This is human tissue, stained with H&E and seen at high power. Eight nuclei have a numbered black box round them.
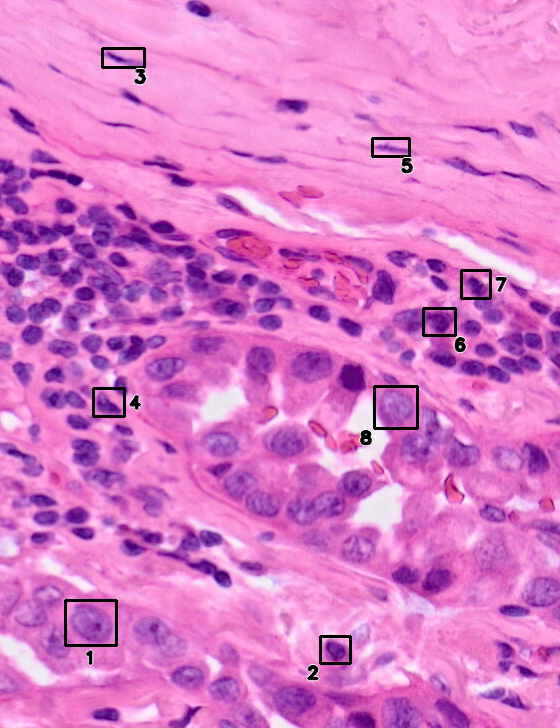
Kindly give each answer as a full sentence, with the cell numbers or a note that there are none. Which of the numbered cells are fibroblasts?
Within the section, cells numbered 3 and 5 are fibroblasts.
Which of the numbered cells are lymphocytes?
Cell 4 is a lymphocyte, while all remaining marked cells are of other types.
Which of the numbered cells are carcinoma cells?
The cells given the numbers 1 and 8 are carcinoma cells.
